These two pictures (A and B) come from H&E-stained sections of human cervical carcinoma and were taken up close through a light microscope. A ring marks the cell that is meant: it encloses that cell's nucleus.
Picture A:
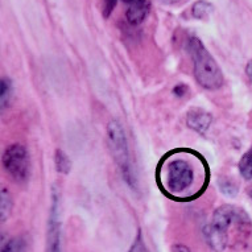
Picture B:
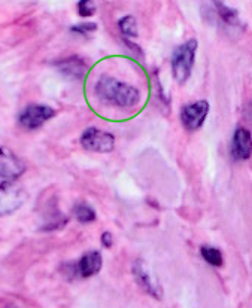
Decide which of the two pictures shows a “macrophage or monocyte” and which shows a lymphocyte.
A: lymphocyte
B: macrophage or monocyte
